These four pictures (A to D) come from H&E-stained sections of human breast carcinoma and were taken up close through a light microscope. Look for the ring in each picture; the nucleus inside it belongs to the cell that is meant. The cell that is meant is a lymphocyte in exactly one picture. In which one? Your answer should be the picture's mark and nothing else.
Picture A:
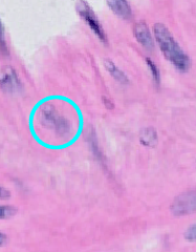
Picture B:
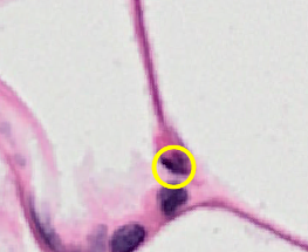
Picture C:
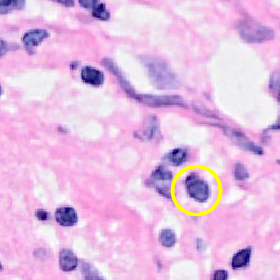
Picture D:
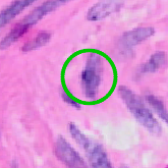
C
